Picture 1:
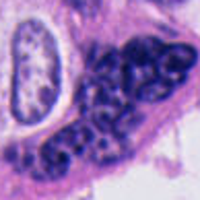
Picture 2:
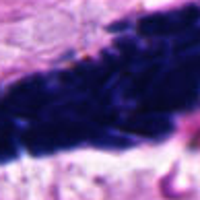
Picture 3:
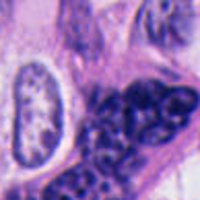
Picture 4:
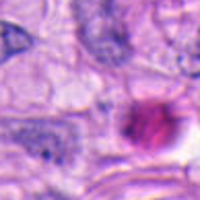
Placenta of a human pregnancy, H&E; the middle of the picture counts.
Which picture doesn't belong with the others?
Picture 4.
